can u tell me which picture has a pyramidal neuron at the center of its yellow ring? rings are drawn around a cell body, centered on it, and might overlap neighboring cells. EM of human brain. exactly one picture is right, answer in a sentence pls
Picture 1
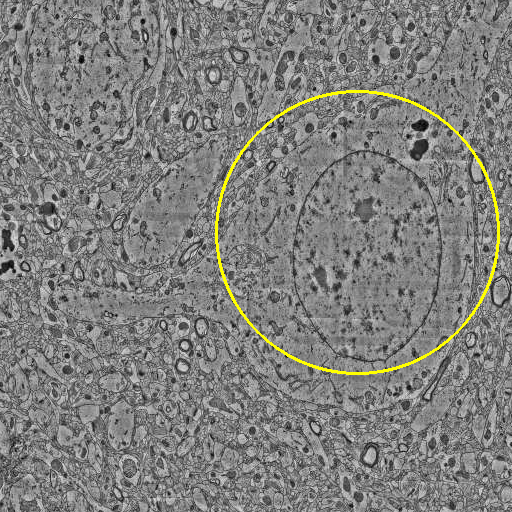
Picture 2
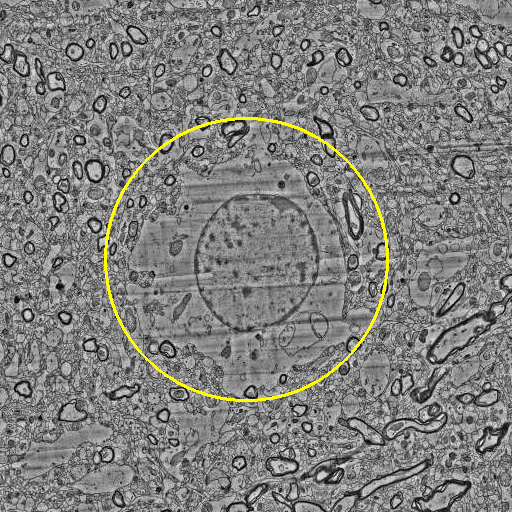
Picture 1 is the one.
